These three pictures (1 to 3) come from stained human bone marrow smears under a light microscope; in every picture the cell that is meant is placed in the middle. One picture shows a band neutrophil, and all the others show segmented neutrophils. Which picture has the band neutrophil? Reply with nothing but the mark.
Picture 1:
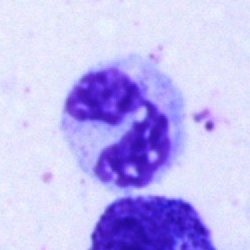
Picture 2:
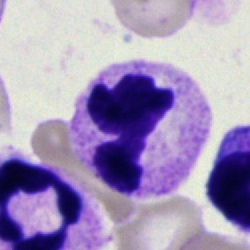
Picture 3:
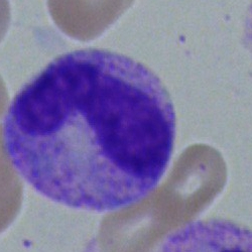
3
